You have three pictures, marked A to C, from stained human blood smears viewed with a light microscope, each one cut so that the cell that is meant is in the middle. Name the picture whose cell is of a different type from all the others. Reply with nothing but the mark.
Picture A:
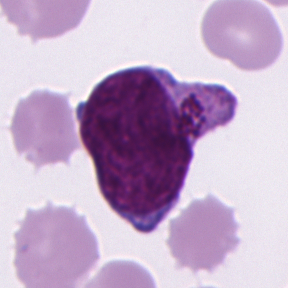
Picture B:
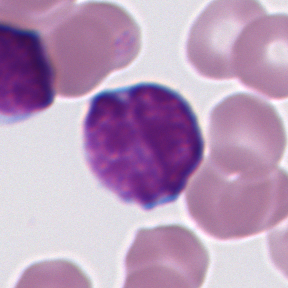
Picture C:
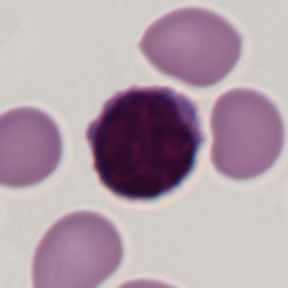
A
